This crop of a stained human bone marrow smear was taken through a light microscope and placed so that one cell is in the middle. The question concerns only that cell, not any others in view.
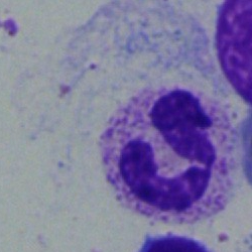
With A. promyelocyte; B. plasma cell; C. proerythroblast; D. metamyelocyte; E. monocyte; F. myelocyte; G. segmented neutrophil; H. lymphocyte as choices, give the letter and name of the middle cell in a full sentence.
The one cell at the centre is a segmented neutrophil, as correctly stated in option G.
